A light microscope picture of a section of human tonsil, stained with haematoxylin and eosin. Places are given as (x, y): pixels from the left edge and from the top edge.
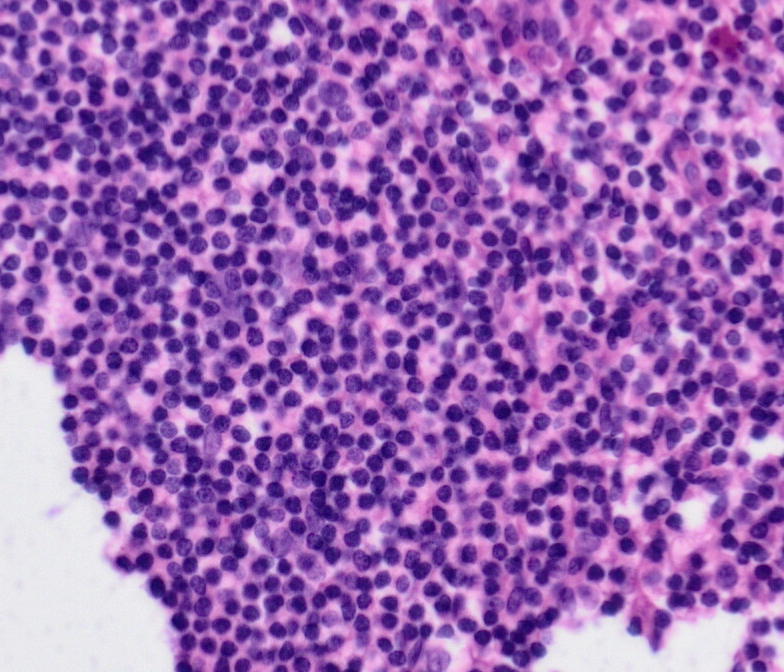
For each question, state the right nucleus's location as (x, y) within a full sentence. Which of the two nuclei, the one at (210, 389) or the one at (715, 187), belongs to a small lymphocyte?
It is the nucleus at (210, 389) that forms part of a small lymphocyte.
